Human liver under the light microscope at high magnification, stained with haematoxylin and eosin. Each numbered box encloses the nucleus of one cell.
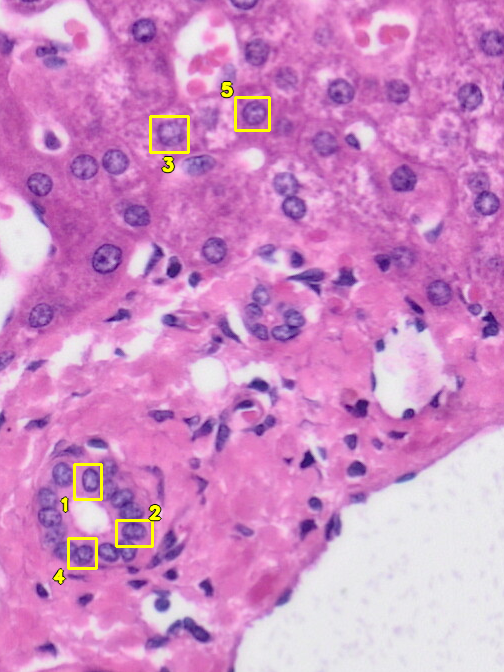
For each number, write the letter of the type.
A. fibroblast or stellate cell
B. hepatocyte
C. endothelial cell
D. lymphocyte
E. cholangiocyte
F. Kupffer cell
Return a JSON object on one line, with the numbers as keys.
{"1": "E", "2": "E", "3": "B", "4": "E", "5": "B"}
